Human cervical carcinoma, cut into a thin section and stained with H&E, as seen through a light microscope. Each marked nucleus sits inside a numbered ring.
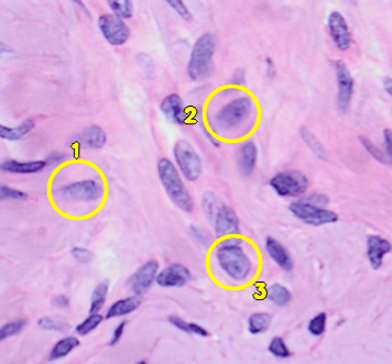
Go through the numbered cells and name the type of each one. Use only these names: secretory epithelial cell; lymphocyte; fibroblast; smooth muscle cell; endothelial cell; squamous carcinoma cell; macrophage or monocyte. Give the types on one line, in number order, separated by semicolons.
fibroblast; fibroblast; endothelial cell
